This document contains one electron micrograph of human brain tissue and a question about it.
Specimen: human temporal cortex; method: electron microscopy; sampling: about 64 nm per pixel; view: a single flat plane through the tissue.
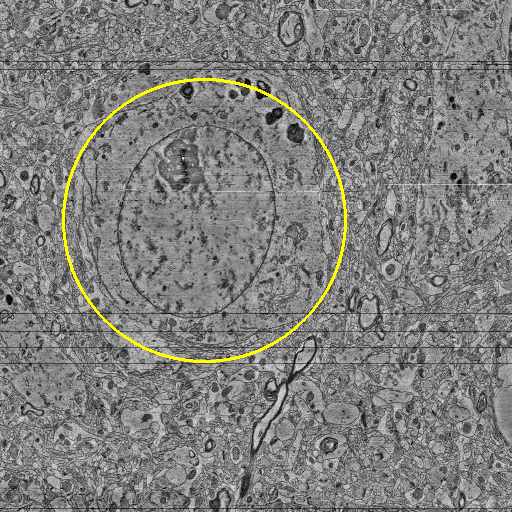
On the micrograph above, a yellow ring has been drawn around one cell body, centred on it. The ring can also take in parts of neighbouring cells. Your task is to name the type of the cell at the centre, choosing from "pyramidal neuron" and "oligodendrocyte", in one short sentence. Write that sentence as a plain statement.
Here the ring is centred on a pyramidal neuron.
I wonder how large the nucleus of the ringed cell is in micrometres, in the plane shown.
The nucleus is approximately 13 micrometers long by 10 micrometers wide in this plane.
